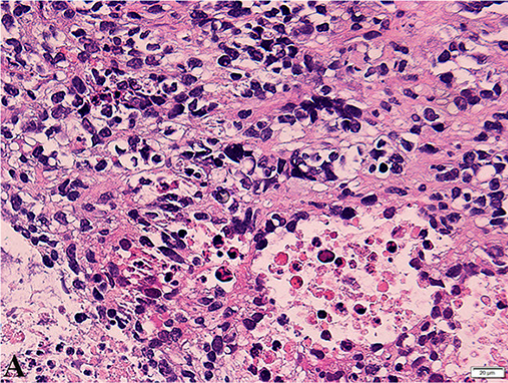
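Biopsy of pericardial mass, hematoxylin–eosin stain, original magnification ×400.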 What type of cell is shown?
Pleomorphic spindle and ovoid tumor cells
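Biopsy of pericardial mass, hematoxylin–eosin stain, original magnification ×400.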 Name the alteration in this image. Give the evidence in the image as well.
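Enlarged, hyperchromatic nuclei of irregular outline. Marked variation in nuclear size. So: atypia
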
